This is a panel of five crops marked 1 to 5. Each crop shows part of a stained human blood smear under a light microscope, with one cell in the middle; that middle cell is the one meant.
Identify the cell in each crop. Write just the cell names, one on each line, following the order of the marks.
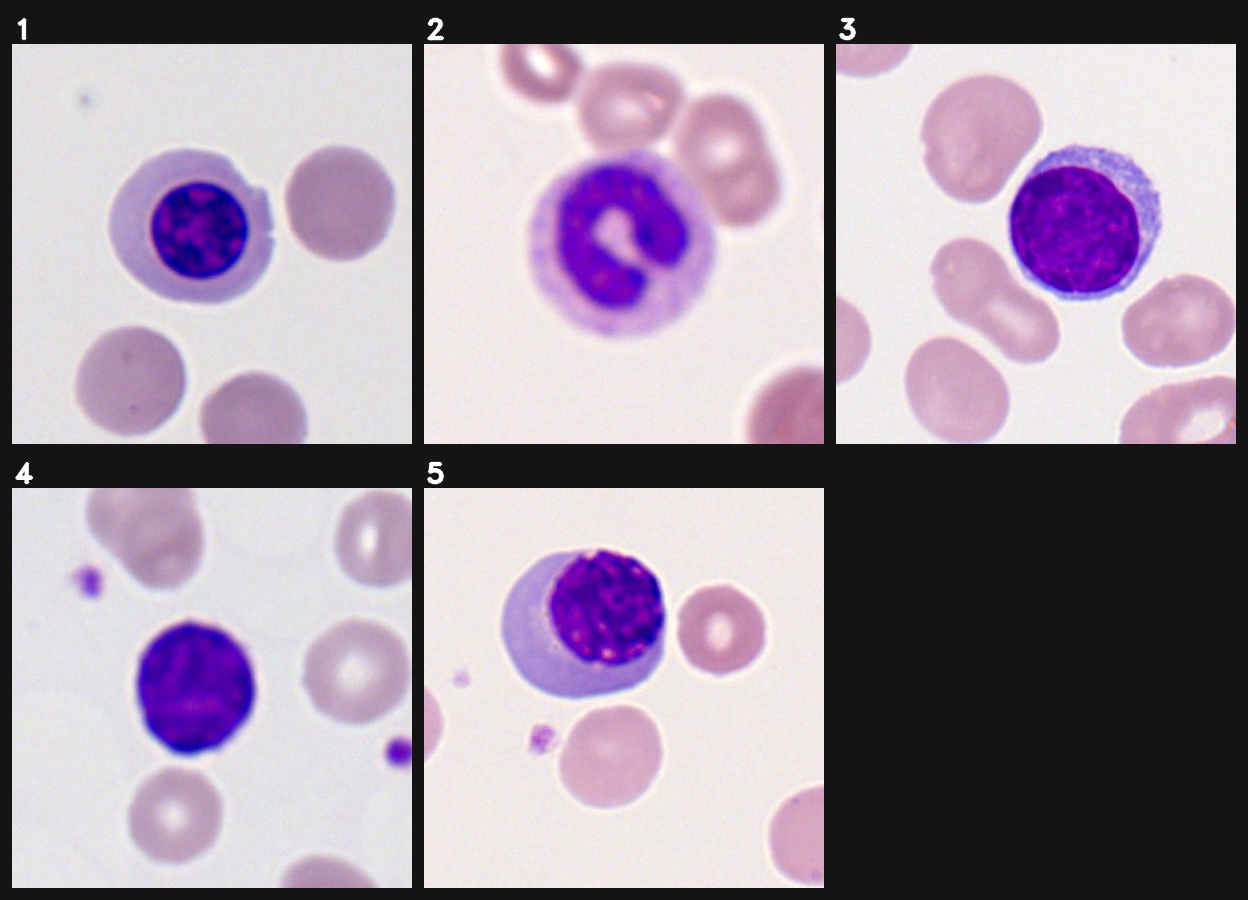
erythroblast
band neutrophil
lymphocyte
lymphocyte
erythroblast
